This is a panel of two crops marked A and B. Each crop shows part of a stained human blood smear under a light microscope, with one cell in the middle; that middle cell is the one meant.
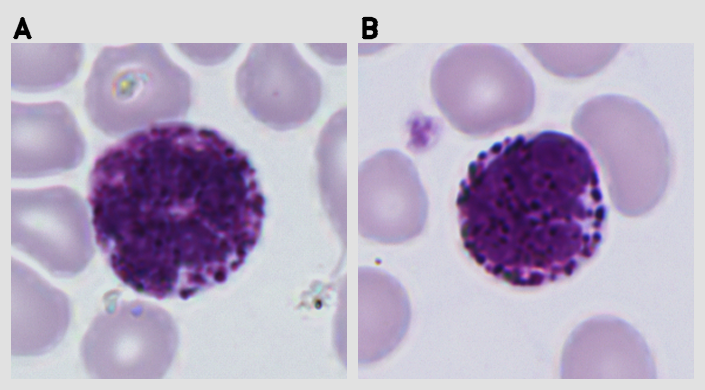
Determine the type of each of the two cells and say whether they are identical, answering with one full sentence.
Yes, both crops in this set show basophils.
